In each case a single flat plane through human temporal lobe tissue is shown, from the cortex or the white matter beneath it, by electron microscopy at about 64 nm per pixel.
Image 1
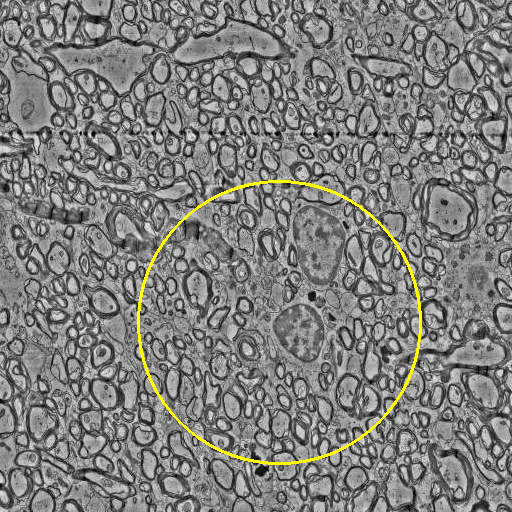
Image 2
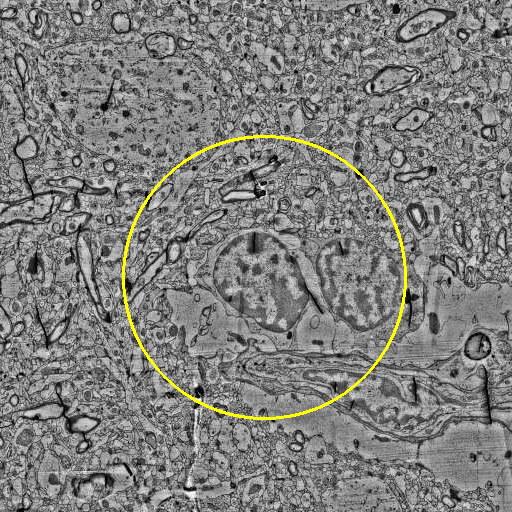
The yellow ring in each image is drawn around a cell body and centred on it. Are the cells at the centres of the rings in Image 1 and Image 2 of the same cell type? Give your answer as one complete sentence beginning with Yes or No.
Yes, both cells are of the same type.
